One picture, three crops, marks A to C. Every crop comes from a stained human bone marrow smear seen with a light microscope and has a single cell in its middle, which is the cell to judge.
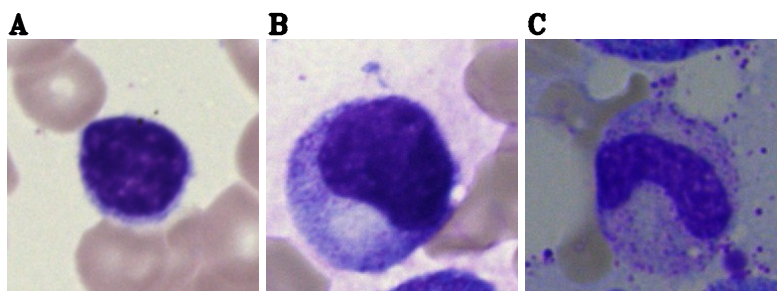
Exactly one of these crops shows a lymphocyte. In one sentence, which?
The one showing a lymphocyte is the crop labelled A.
